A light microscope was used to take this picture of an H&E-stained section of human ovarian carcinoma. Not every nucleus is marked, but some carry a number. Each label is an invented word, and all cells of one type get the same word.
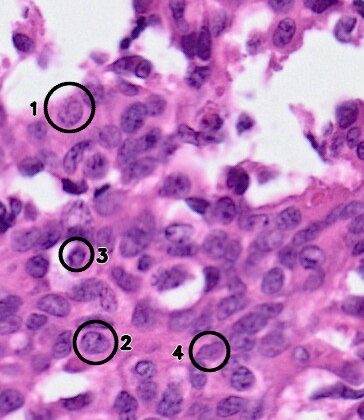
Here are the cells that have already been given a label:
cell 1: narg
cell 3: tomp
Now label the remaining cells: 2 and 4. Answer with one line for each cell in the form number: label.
2: tomp
4: narg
